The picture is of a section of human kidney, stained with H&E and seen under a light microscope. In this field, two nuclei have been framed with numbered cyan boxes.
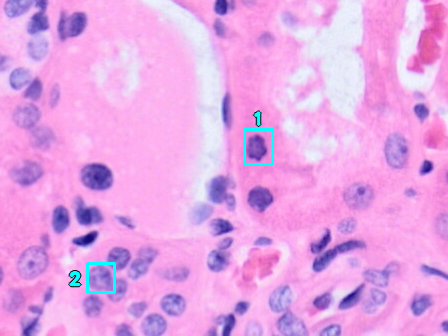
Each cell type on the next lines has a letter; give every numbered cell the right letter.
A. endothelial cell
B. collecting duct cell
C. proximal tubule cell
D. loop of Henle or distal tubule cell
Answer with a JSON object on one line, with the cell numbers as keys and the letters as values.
{"1": "C", "2": "B"}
